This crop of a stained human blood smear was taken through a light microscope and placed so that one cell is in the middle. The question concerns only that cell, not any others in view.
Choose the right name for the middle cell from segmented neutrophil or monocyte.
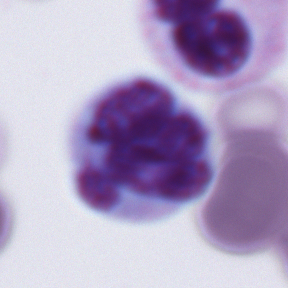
monocyte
